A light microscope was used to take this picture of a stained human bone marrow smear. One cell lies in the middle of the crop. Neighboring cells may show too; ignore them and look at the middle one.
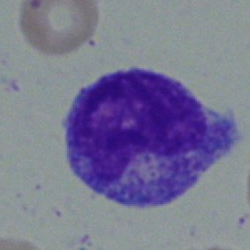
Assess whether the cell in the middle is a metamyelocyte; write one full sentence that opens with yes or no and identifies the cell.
No, the cell positioned in the middle is a myelocyte, not a metamyelocyte.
